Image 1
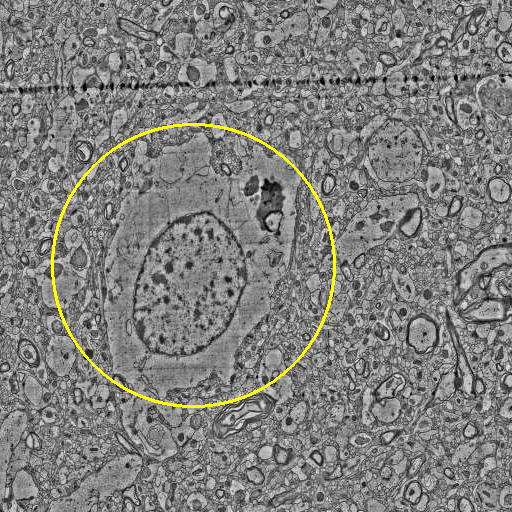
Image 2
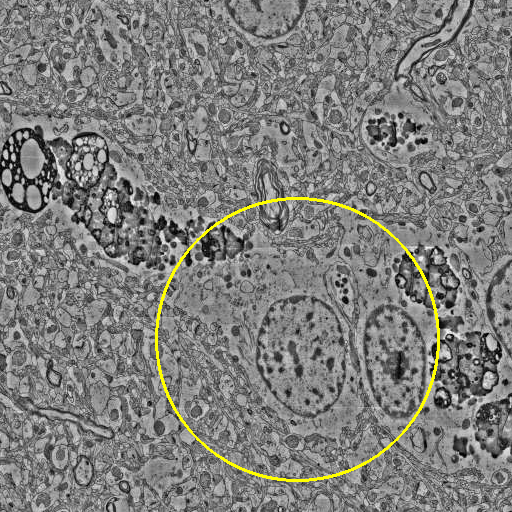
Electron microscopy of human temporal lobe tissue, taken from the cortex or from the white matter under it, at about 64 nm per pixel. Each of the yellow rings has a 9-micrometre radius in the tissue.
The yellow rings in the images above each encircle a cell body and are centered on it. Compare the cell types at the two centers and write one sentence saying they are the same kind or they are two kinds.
Taken together, the two cells at the ring centers are the same kind.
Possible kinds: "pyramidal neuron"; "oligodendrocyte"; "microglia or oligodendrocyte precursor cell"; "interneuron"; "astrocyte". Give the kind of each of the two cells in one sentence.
Each of the two cells is an astrocyte.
